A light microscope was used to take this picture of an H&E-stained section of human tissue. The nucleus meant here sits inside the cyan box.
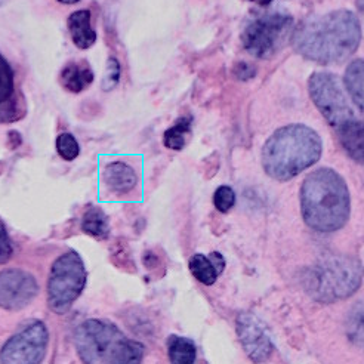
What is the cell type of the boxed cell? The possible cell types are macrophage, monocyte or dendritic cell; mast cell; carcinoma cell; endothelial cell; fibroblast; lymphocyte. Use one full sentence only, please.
As a matter of cell type, the boxed cell is a macrophage, monocyte or dendritic cell.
